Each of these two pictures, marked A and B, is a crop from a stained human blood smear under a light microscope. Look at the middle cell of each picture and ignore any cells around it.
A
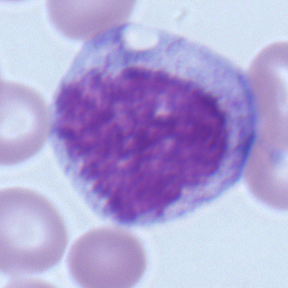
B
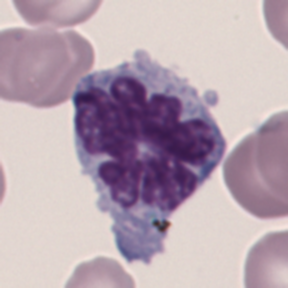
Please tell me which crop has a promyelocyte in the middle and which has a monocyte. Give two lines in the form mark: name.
A: promyelocyte
B: monocyte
